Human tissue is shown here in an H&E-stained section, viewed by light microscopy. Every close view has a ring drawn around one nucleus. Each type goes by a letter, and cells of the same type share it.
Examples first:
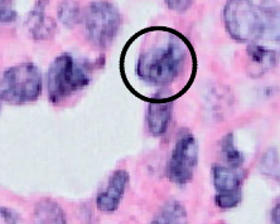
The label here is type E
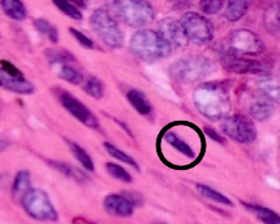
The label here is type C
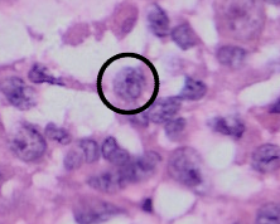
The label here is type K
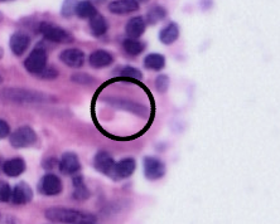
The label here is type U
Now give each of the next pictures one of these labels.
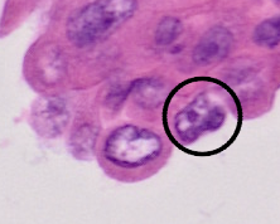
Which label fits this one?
type E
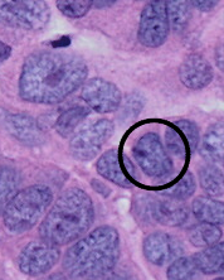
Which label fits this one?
type E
